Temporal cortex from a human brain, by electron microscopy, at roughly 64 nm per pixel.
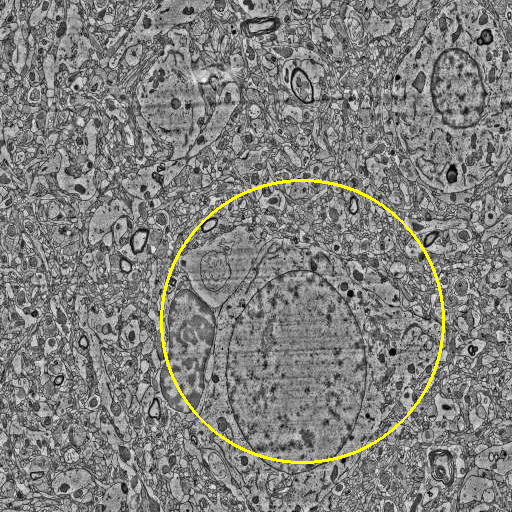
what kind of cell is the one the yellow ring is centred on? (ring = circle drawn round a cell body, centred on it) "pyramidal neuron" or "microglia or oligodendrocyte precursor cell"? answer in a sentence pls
The ring is drawn around a pyramidal neuron.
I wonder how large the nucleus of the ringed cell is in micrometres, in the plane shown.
In this plane the nucleus spans approximately 13 by 9 micrometers.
